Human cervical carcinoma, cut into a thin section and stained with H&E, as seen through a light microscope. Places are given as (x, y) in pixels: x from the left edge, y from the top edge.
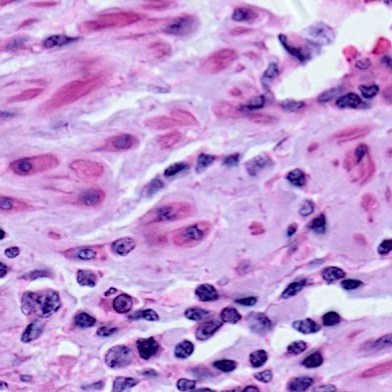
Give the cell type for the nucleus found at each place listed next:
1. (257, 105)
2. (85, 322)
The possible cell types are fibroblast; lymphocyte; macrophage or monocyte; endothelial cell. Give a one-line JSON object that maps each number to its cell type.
{"1": "endothelial cell", "2": "lymphocyte"}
